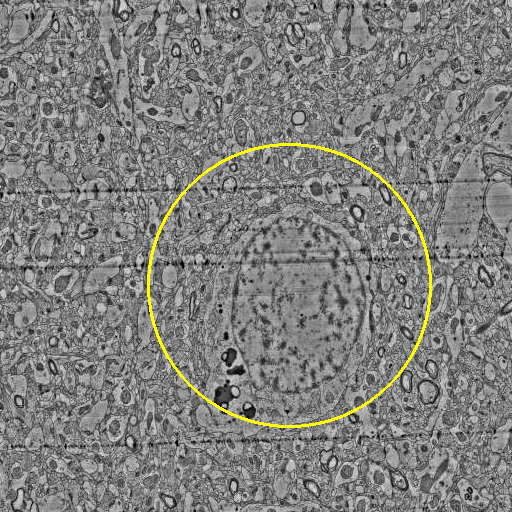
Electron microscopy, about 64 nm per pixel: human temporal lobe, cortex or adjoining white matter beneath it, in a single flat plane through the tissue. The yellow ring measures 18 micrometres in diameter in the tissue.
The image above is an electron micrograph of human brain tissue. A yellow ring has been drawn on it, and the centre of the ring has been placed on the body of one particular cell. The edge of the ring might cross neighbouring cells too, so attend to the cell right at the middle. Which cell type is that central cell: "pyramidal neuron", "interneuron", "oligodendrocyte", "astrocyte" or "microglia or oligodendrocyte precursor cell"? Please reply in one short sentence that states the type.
The central cell in the ring is an interneuron.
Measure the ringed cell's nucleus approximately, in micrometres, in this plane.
The nucleus has a long axis of about 11 micrometres and a short axis of about 9 micrometres in this plane.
